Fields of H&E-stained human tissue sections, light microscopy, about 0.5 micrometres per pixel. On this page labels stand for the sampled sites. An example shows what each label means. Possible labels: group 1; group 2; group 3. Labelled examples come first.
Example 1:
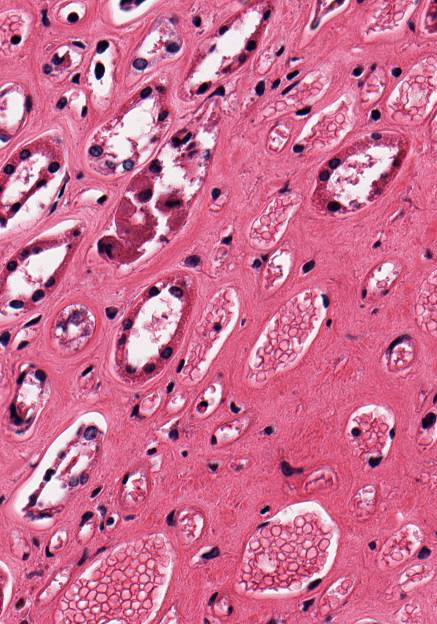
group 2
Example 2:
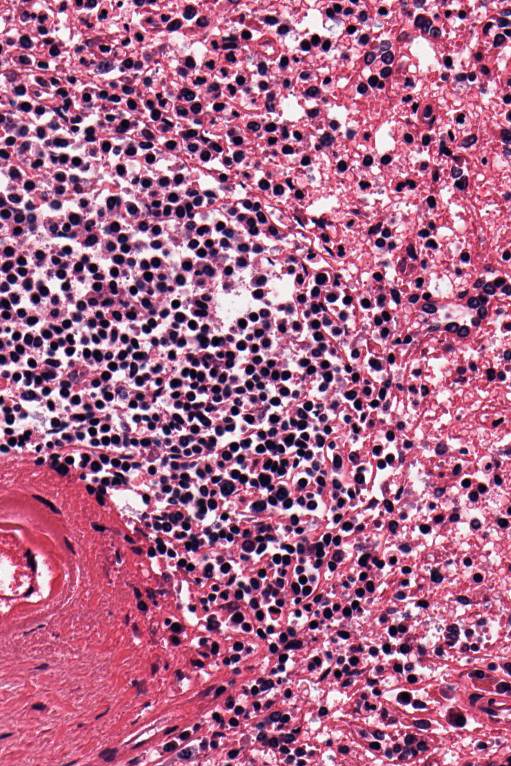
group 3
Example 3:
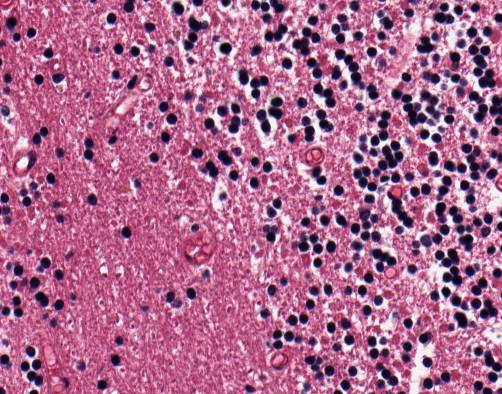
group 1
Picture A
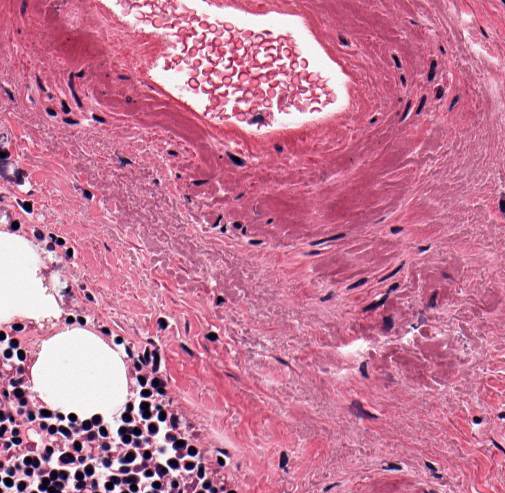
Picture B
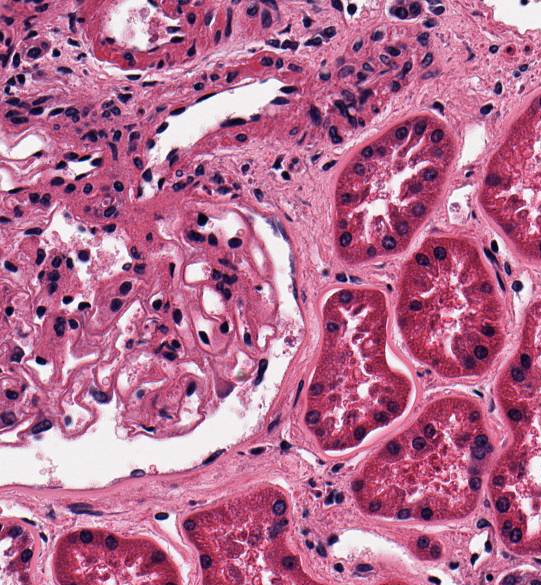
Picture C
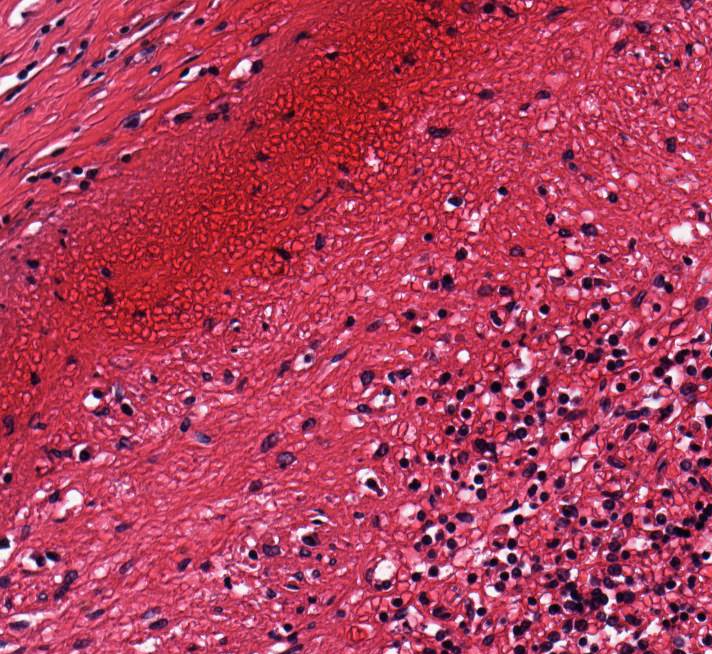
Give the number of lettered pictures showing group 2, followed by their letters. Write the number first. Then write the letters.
1: B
